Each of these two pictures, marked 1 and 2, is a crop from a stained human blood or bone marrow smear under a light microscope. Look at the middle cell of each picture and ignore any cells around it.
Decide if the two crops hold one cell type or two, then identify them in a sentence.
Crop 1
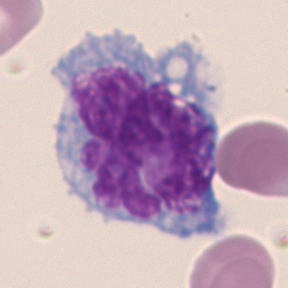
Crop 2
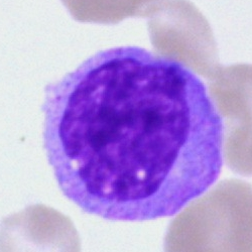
Yes, monocytes are at the centre in both crops.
